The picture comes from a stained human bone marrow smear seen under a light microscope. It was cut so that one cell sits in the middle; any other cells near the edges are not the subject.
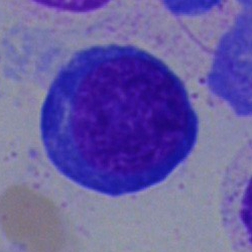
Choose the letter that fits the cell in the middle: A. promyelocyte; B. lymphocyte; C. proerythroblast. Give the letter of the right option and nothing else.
C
